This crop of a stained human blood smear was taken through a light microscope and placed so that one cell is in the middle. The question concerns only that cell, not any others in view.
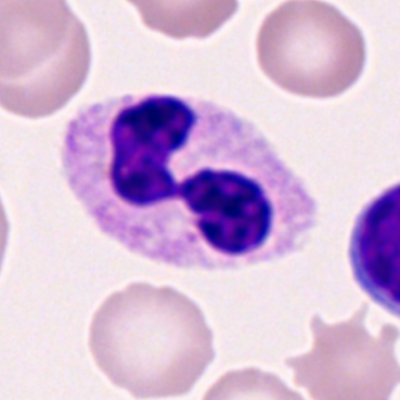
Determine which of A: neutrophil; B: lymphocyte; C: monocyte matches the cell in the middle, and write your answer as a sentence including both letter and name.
The cell placed in the middle is a neutrophil; option A is correct.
